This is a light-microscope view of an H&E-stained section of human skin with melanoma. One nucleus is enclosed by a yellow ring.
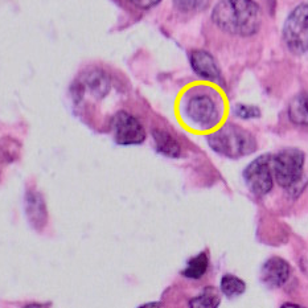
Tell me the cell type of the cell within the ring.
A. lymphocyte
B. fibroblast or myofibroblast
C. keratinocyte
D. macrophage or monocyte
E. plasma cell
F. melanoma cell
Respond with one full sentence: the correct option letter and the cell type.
According to option F, the cell within the ring is a melanoma cell, and this is correct.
